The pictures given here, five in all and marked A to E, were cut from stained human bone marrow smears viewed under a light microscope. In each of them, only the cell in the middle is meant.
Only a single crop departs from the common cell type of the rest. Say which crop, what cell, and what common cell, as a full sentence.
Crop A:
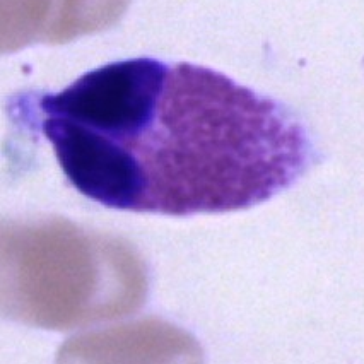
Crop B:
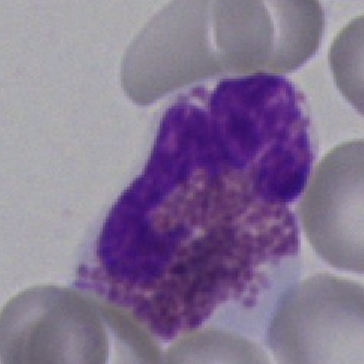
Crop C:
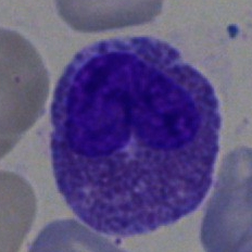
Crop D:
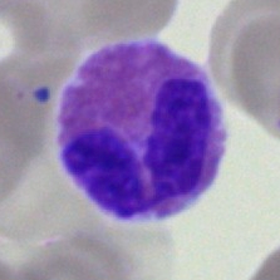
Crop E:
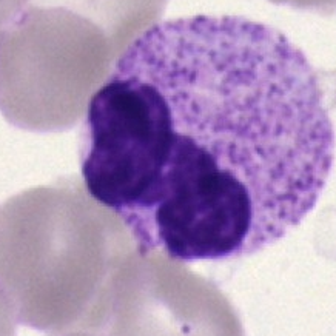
A different cell type, a segmented neutrophil, occupies crop E; the other crops show eosinophils.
